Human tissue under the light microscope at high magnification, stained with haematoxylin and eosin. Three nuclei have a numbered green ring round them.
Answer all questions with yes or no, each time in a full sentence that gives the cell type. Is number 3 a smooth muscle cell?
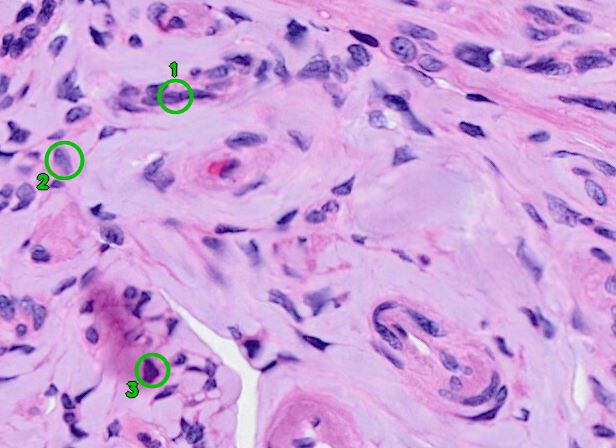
Yes, cell 3 is a smooth muscle cell in this tissue section.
